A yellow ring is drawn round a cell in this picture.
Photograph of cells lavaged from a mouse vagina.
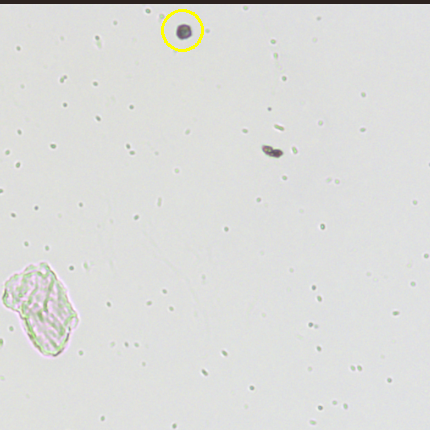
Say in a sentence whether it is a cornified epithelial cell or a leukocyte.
The cell in the ring is a leukocyte.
